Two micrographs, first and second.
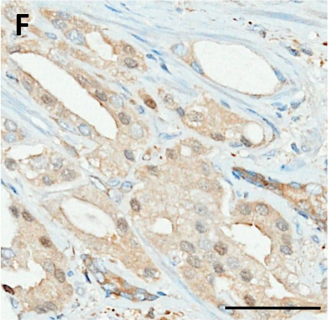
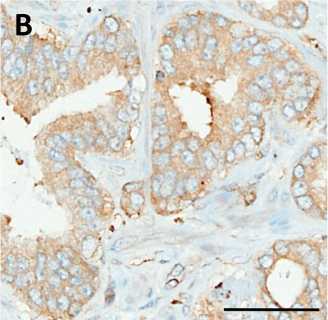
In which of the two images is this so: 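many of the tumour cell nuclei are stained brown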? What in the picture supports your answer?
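First image: many epithelial nuclei are tan to brown, like the cytoplasm around them. Second image: the nuclei are pale blue and stand out against brown cytoplasm. That points to this answer: the first image.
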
